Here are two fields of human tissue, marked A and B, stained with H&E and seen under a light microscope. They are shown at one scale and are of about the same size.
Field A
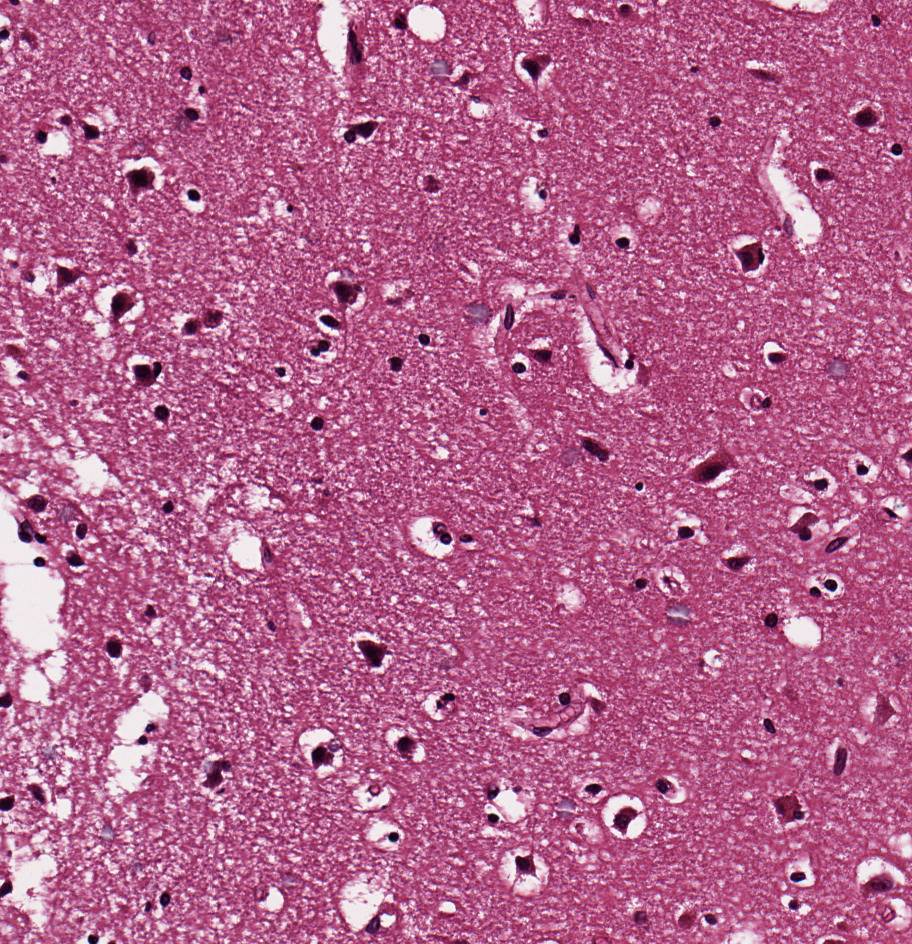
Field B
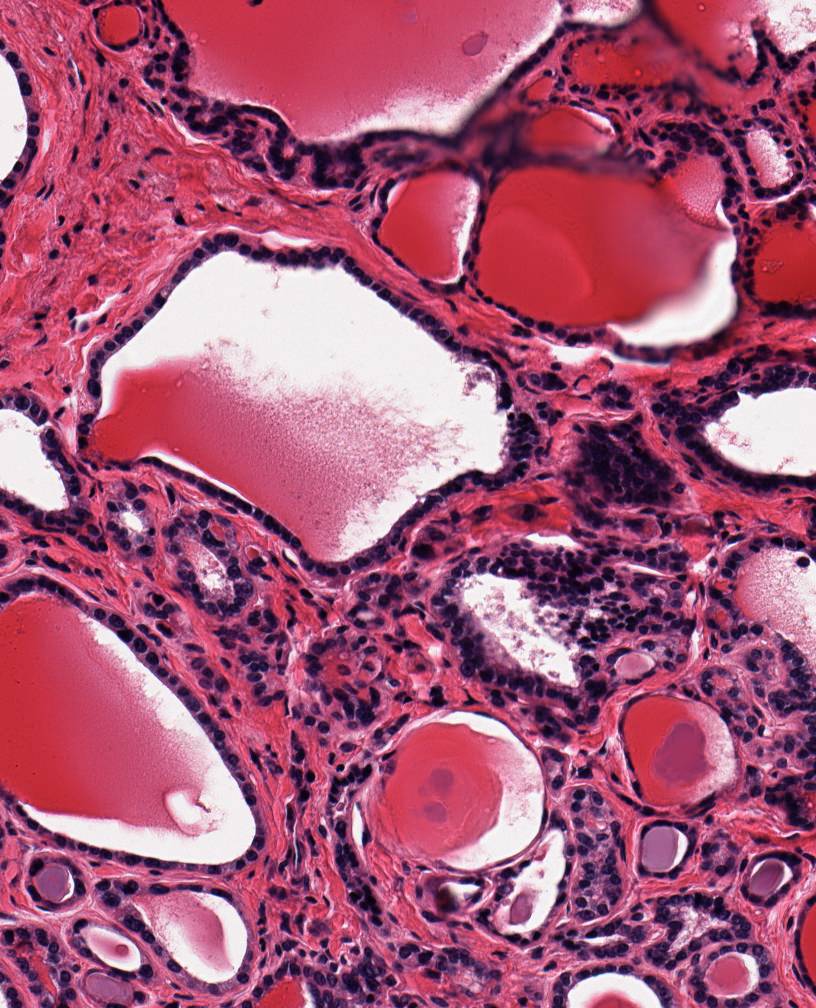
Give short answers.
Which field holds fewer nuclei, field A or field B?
A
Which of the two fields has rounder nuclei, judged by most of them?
A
